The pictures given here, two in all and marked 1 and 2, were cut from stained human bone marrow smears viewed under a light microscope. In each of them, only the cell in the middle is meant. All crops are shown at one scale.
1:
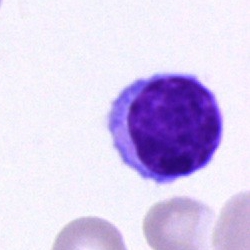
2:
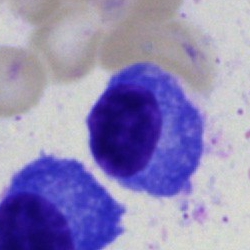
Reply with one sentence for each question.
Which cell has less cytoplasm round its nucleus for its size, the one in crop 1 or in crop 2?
Of the two, the nucleus in crop 1 makes up the greater part of its cell.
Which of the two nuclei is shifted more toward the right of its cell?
The nucleus in crop 1 lies further toward the right of its cell.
